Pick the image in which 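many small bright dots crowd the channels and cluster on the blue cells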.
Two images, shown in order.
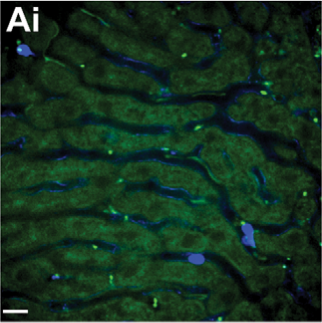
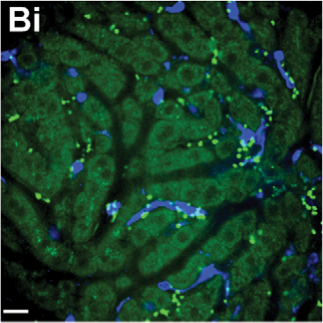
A: The second image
